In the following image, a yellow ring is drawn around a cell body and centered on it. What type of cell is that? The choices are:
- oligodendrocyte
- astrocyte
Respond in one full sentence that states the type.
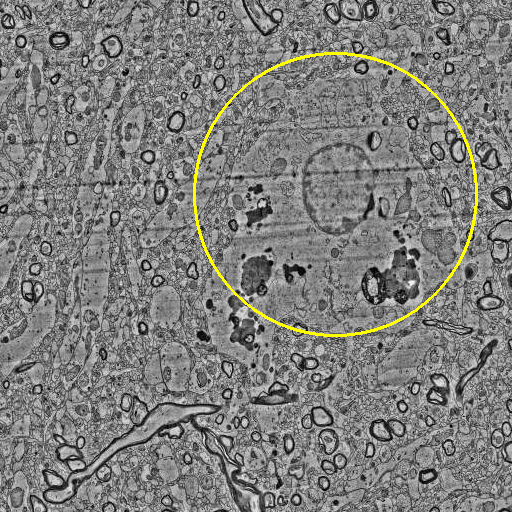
The cell at the center of the yellow ring in the image is an astrocyte.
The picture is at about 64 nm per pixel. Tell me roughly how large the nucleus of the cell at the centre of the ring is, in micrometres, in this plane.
In this plane, roughly 6 by 5 micrometres.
